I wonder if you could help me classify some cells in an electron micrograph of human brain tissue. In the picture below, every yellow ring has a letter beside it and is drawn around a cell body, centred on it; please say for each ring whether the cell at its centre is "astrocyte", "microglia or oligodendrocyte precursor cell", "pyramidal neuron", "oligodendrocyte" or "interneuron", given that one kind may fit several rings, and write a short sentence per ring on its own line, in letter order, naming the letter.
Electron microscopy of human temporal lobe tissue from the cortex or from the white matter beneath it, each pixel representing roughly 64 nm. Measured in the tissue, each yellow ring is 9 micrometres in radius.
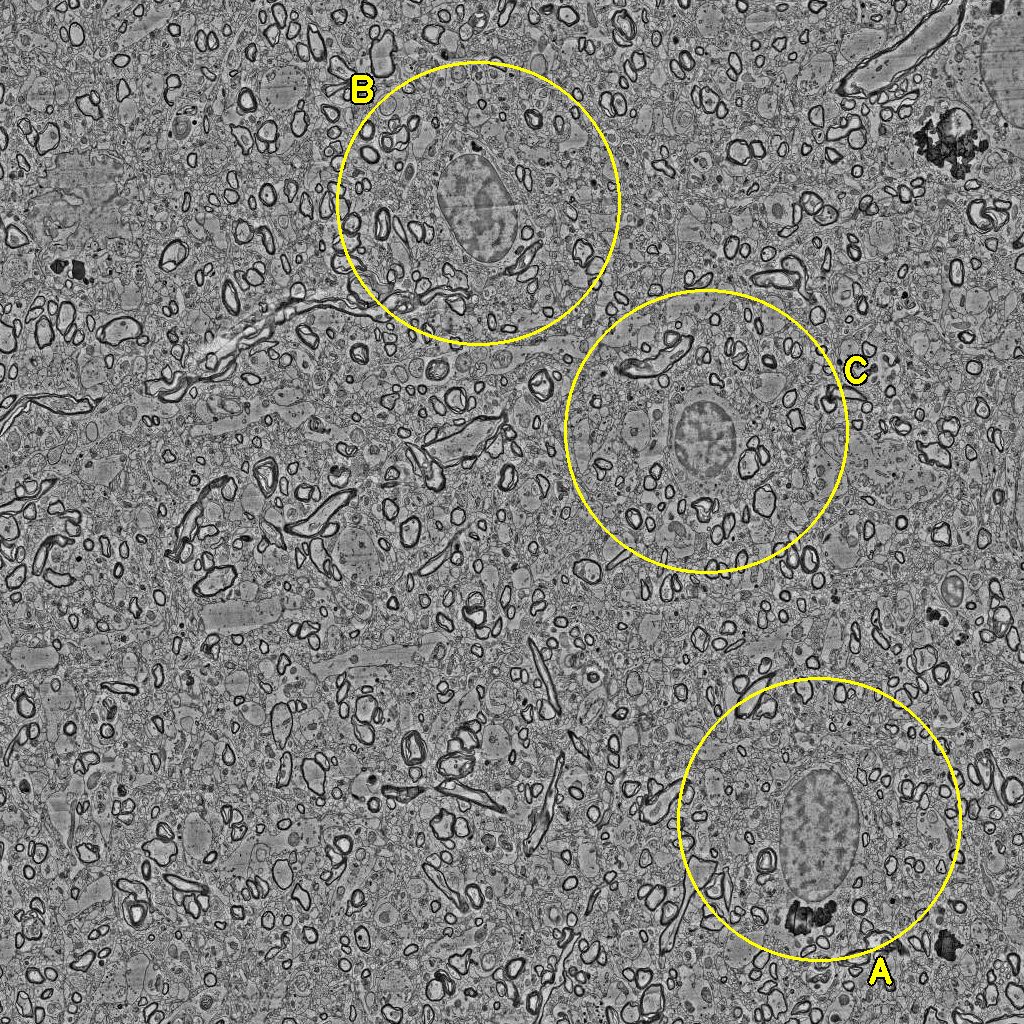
Centred in ring A is an oligodendrocyte.
Centred in ring B is a microglial cell or oligodendrocyte precursor cell.
Centred in ring C is an oligodendrocyte.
